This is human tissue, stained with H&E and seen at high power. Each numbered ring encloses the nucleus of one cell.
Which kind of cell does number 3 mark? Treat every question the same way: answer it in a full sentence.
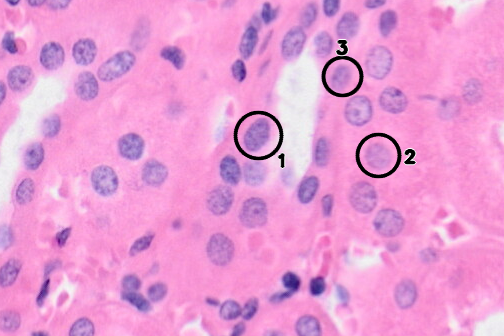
The cell numbered 3 has been identified as a collecting duct cell.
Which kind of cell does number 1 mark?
Marked with the number 1, this cell is a collecting duct cell.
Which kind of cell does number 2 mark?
Regarding cell 2, this one is a proximal tubule cell.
